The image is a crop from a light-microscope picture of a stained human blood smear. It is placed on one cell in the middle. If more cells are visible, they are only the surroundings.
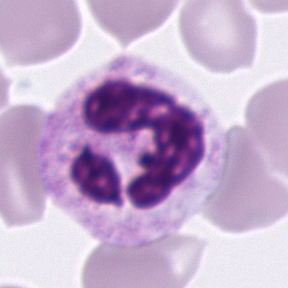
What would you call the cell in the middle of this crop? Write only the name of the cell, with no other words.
neutrophil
